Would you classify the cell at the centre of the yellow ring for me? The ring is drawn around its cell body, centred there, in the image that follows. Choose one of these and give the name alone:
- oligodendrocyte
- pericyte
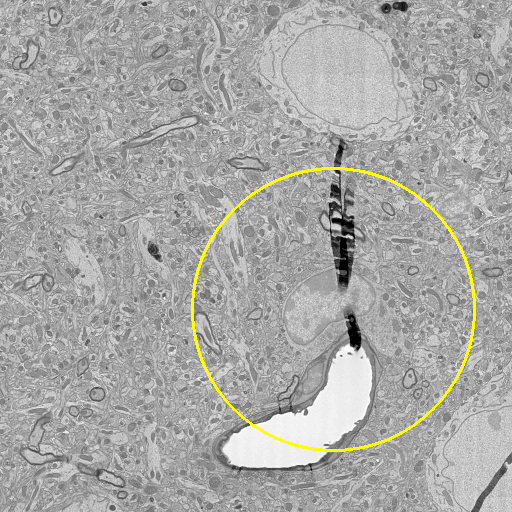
oligodendrocyte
